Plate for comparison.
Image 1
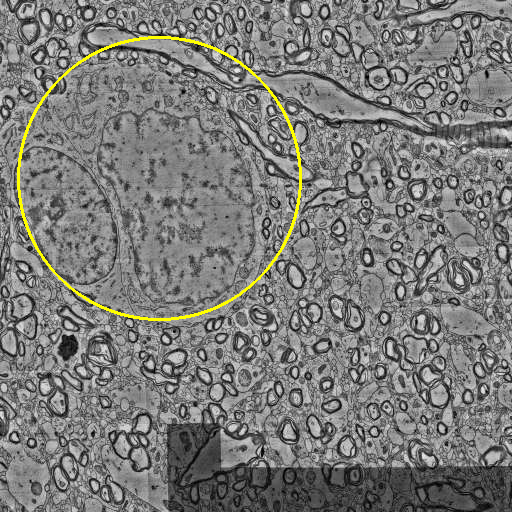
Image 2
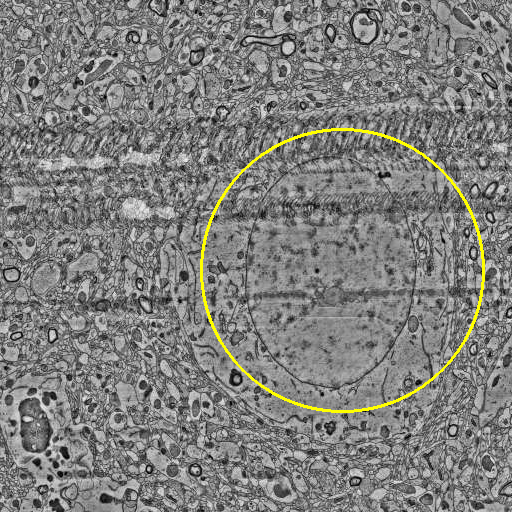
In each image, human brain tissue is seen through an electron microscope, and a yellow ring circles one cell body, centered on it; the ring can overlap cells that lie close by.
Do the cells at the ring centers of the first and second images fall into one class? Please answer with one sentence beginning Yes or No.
No, the first and second images show two classes of cell at the ring centers.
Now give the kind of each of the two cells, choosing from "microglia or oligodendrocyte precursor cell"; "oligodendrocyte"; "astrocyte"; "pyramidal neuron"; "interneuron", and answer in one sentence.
The cell in the first picture is an interneuron, and the cell in the second is a pyramidal neuron.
